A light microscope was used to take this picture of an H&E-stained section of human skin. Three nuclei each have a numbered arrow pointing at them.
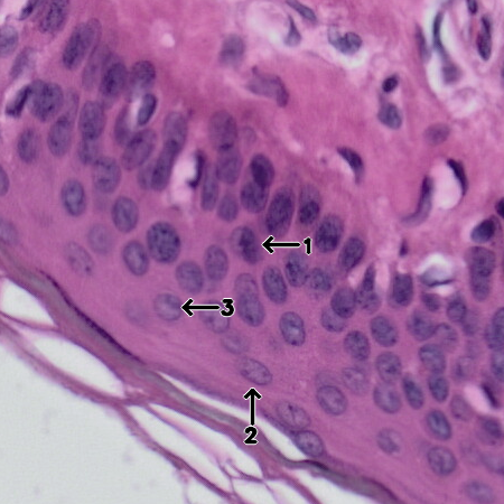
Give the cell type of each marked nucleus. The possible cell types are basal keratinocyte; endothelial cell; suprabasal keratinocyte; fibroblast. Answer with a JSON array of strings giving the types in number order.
["basal keratinocyte", "suprabasal keratinocyte", "suprabasal keratinocyte"]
